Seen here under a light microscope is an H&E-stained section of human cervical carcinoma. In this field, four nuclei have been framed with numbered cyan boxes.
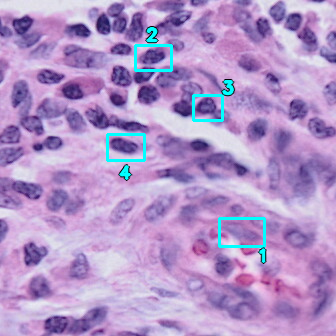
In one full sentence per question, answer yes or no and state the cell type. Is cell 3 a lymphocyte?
Yes, the cell identified by number 3 is a lymphocyte.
